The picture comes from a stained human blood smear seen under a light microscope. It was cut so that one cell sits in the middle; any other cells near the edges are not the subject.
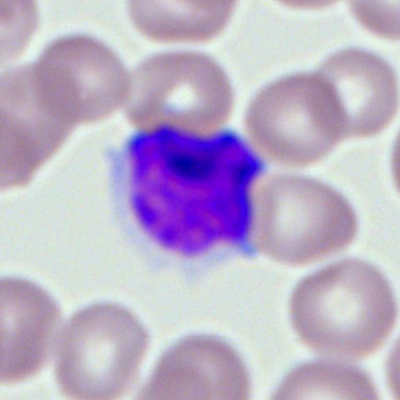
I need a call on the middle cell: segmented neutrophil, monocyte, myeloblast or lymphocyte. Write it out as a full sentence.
The cell at the centre of the field is a lymphocyte.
